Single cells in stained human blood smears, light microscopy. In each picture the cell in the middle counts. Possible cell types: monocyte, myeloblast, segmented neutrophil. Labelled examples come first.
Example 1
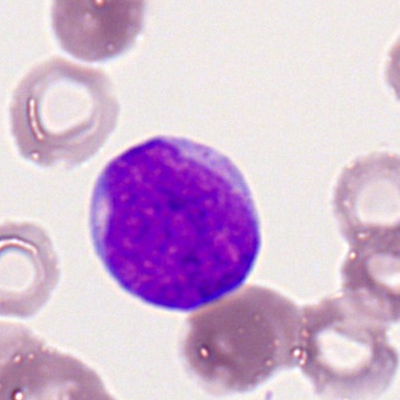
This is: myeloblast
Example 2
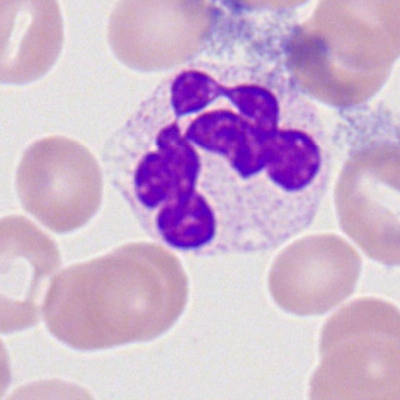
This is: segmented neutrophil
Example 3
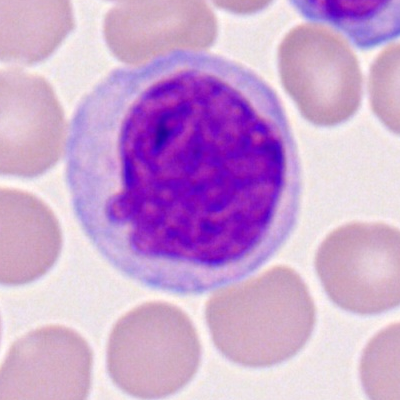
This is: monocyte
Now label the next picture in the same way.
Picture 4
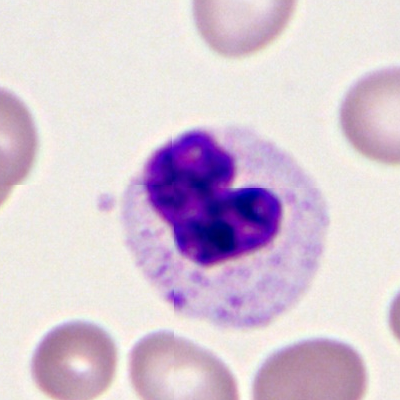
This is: segmented neutrophil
